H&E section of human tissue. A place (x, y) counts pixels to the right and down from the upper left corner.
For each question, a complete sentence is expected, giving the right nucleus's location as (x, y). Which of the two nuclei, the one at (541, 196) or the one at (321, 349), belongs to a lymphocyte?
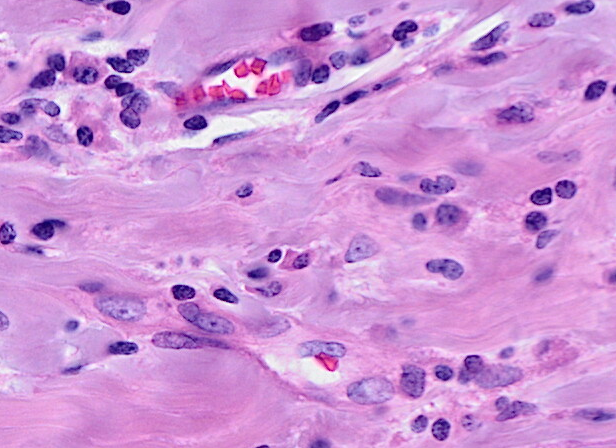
Housed in a lymphocyte is the nucleus at (541, 196), not the other one.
